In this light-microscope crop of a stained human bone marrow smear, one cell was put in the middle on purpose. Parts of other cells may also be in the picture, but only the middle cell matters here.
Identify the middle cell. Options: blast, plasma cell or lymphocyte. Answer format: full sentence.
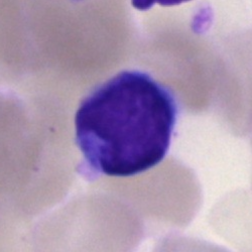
For this crop, the central cell is a lymphocyte.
